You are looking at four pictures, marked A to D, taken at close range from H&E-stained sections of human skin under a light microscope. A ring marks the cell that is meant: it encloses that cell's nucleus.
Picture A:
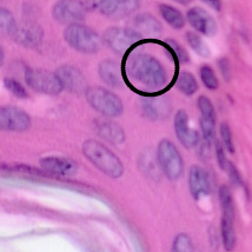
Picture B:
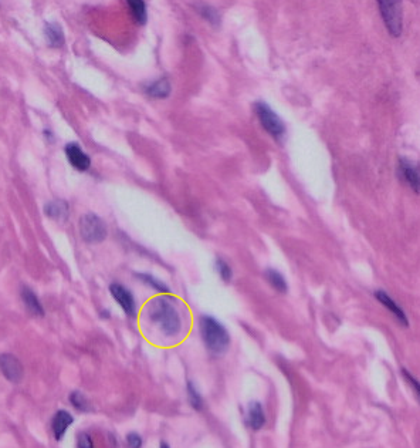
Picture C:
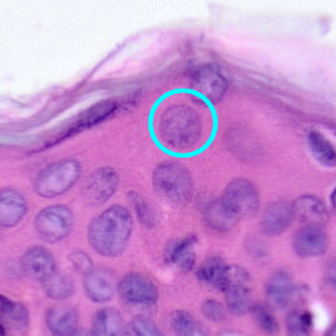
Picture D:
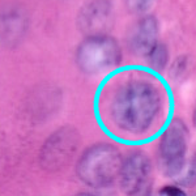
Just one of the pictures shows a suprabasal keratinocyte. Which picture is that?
C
